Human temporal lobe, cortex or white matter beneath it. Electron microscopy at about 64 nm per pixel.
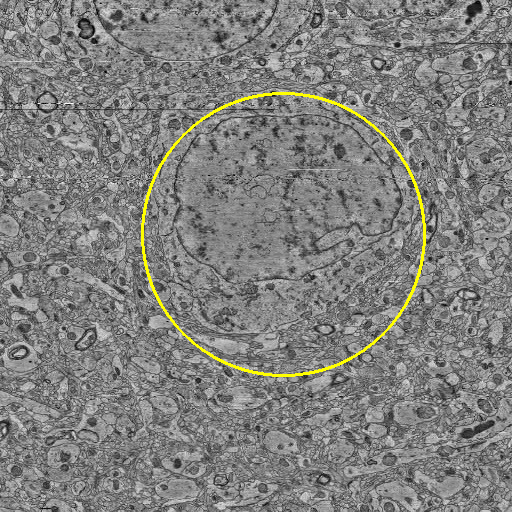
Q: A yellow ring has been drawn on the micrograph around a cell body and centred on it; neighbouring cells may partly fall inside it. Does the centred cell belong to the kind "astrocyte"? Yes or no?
No, it belongs to another kind.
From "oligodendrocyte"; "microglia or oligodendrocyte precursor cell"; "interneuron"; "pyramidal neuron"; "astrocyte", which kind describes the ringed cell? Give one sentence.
The correct answer is that the cell is a pyramidal neuron.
